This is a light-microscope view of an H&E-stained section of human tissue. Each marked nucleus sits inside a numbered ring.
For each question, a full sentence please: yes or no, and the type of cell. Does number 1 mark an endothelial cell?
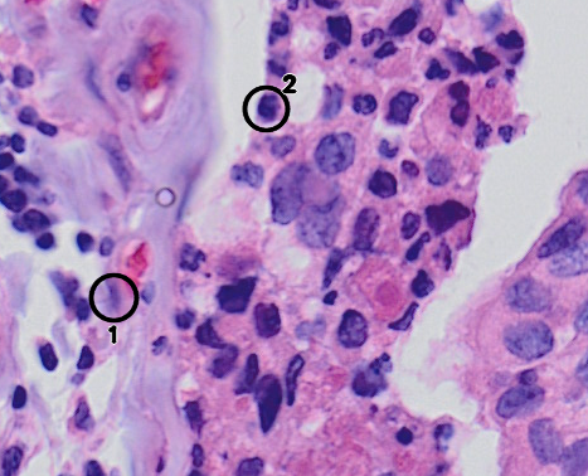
Yes, the cell that has number 1 is an endothelial cell.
